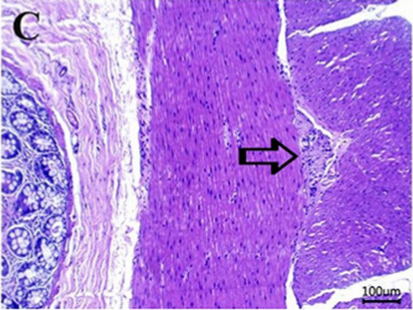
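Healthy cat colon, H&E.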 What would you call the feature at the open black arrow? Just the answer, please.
Myenteric plexus.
